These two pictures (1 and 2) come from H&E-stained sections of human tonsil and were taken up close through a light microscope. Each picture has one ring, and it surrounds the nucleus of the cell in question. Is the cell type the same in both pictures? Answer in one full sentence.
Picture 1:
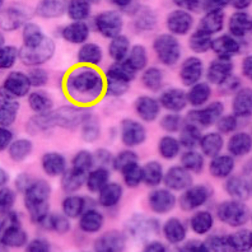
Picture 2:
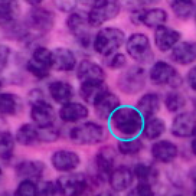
Yes, both are small lymphocytes.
